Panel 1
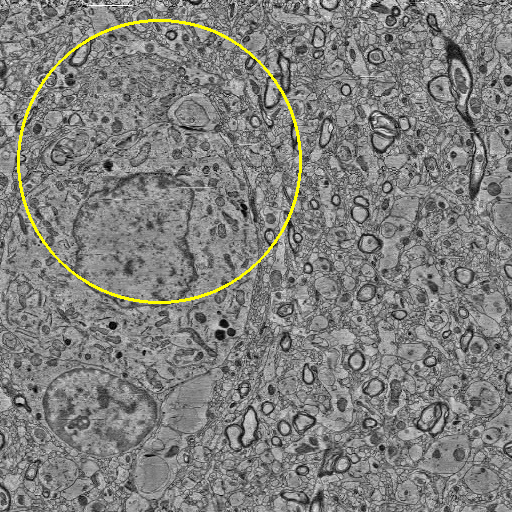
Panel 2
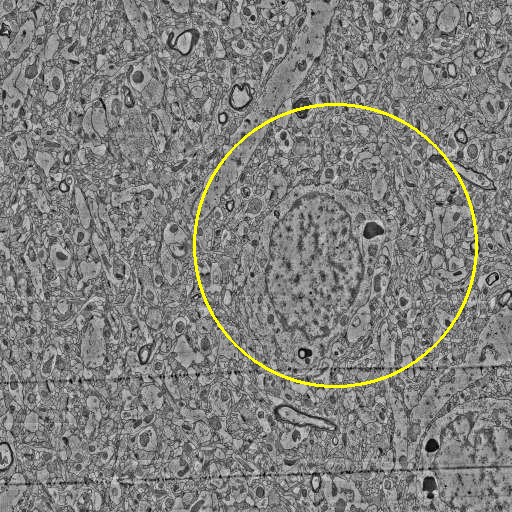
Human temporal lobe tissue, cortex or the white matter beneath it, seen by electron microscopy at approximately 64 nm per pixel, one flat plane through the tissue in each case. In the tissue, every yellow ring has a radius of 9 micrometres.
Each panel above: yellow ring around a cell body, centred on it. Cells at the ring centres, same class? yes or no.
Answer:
yes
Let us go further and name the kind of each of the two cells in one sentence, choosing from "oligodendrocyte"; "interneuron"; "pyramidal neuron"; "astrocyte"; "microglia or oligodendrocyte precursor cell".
Each cell at the centre of a ring is an interneuron.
